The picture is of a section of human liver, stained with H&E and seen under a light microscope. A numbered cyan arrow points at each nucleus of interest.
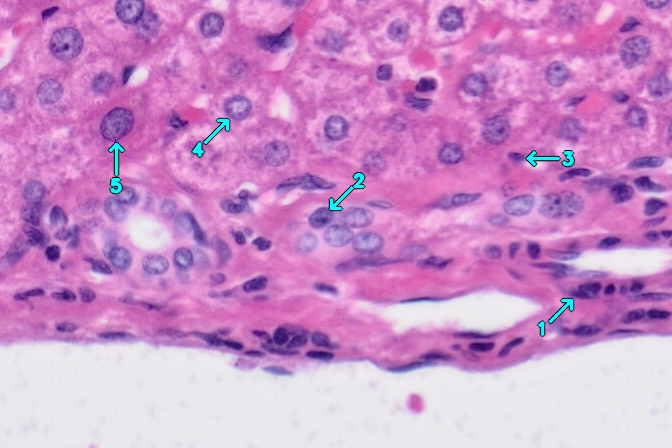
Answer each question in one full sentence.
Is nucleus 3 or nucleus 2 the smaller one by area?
The smaller nucleus is 3, and 2 covers roughly 3 times its area.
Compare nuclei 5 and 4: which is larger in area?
Of the two, number 5 is bigger and takes up about 1.5 times the area of number 4.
